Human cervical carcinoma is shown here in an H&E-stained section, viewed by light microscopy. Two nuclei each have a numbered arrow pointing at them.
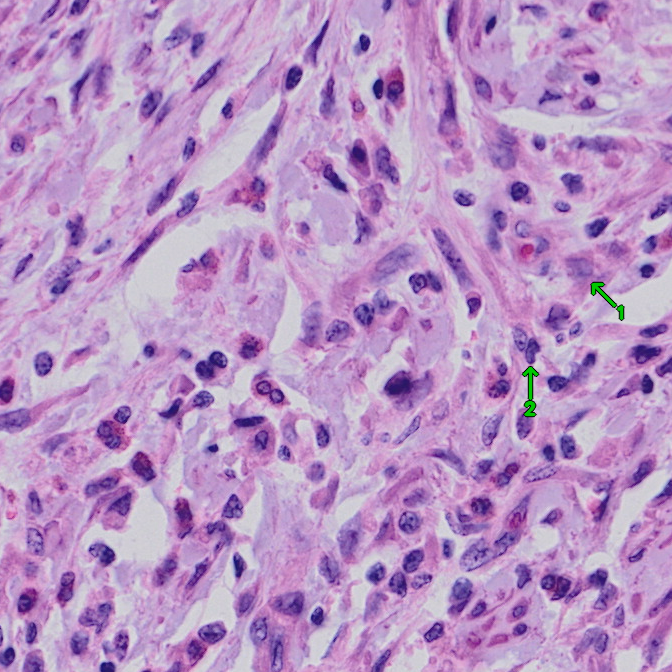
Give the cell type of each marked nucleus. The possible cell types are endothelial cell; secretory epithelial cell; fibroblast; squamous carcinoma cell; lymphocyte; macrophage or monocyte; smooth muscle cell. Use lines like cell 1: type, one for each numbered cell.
cell 1: endothelial cell
cell 2: lymphocyte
